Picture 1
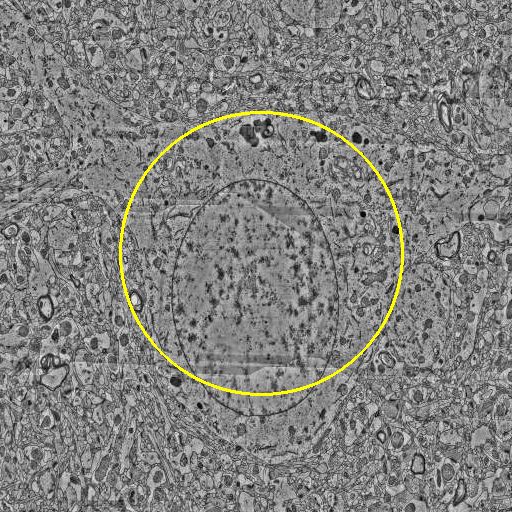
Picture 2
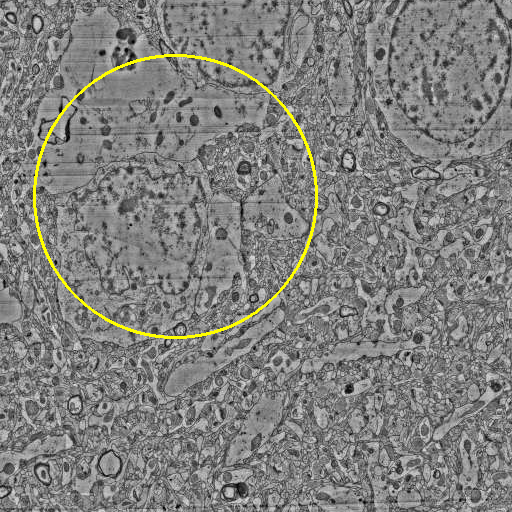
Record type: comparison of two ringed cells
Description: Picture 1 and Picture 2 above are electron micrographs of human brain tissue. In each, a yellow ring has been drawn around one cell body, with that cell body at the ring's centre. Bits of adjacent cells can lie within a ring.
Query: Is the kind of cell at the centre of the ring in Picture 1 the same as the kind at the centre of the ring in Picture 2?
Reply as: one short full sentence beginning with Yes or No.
No, the two ringed cells are of two separate kinds.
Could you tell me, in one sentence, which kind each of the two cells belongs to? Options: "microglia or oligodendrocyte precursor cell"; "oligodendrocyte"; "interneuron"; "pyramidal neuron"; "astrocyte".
At the centre of the first ring sits a pyramidal neuron, and at the centre of the second sits an interneuron.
